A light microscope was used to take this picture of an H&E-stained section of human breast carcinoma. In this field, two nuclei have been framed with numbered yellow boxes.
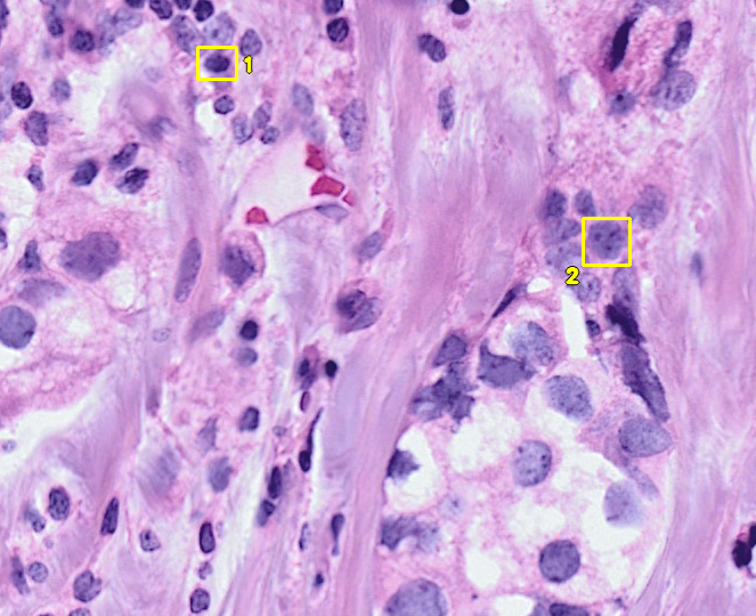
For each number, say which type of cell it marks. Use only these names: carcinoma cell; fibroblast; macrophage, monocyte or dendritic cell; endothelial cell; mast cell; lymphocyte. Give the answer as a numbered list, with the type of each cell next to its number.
1. lymphocyte
2. carcinoma cell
